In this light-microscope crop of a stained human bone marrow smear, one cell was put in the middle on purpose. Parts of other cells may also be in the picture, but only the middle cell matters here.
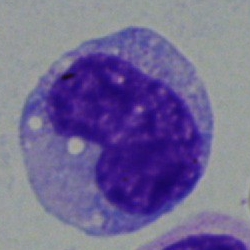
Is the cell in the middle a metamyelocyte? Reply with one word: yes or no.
no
